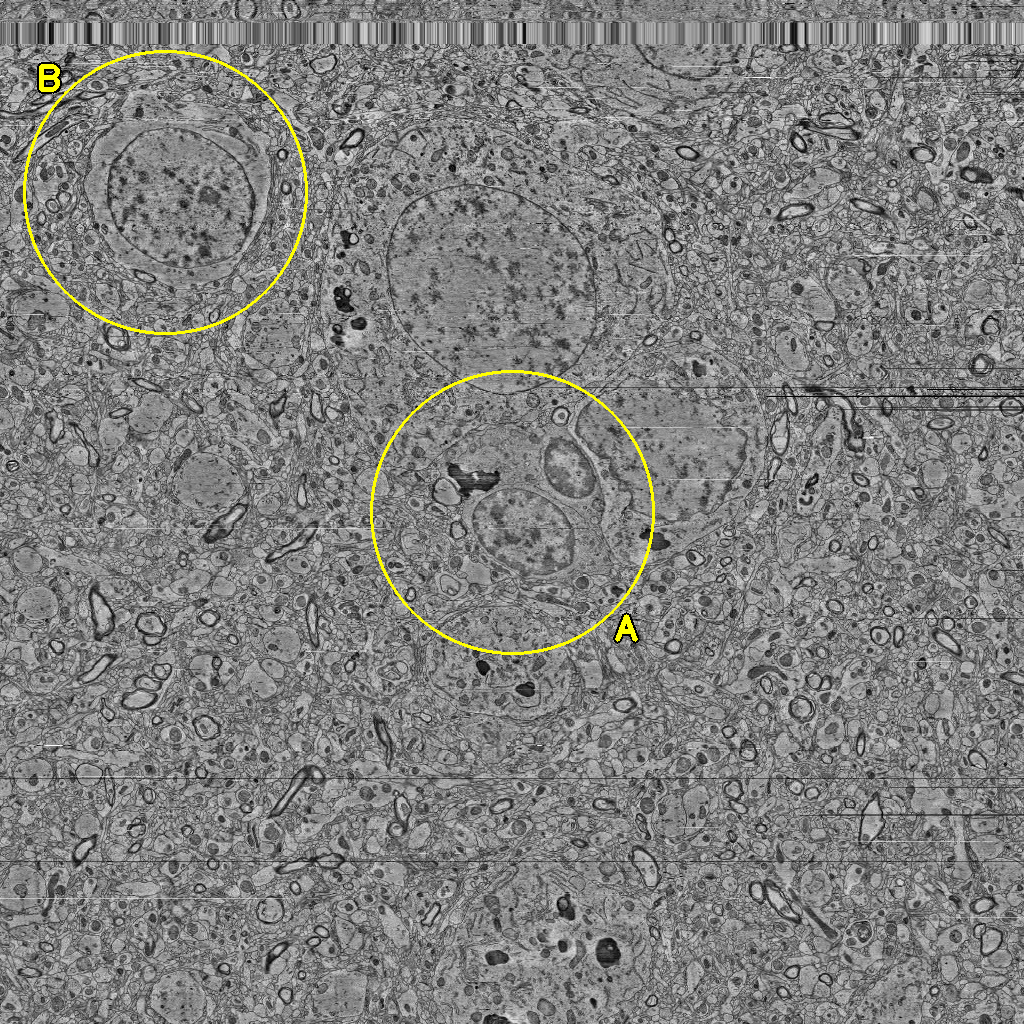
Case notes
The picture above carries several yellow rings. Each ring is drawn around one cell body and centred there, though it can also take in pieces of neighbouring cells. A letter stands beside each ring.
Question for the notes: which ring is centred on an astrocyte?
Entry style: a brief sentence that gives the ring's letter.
Ring B is centred on it.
